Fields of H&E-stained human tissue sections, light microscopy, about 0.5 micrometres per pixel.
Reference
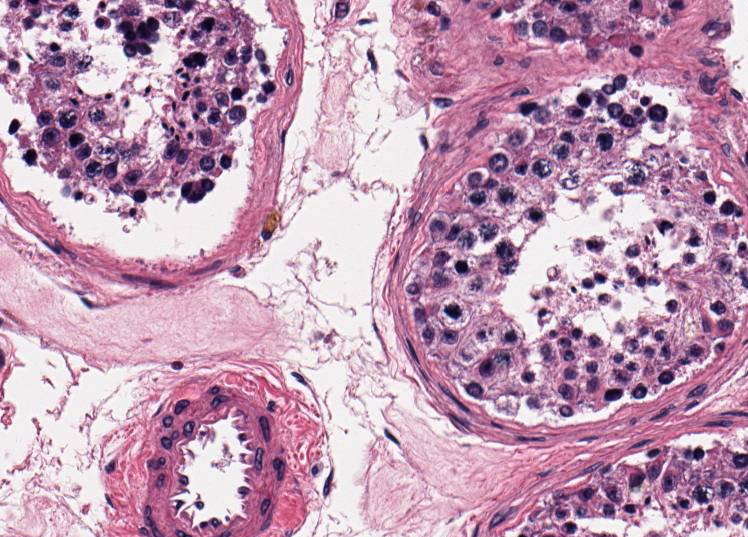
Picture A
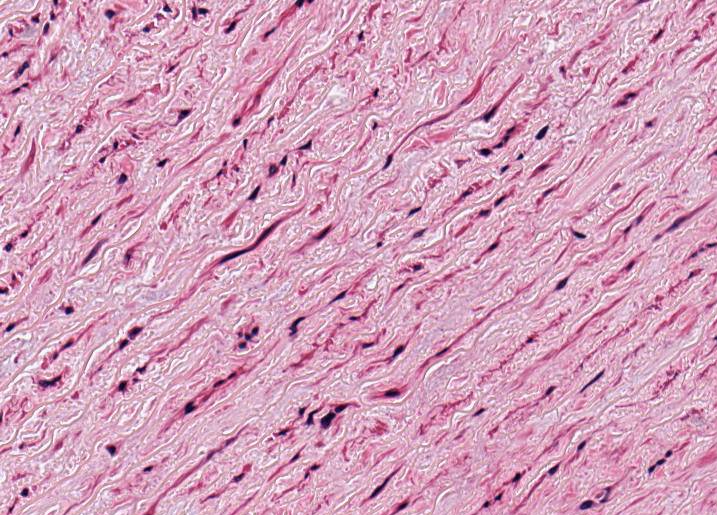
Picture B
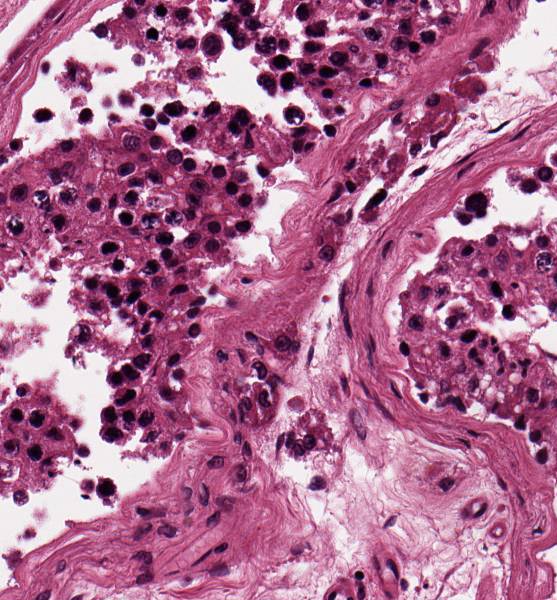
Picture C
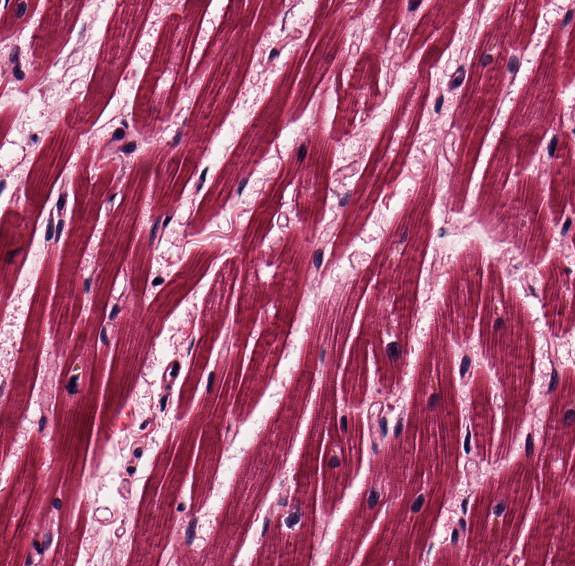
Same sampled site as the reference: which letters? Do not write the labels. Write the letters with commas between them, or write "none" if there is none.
B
